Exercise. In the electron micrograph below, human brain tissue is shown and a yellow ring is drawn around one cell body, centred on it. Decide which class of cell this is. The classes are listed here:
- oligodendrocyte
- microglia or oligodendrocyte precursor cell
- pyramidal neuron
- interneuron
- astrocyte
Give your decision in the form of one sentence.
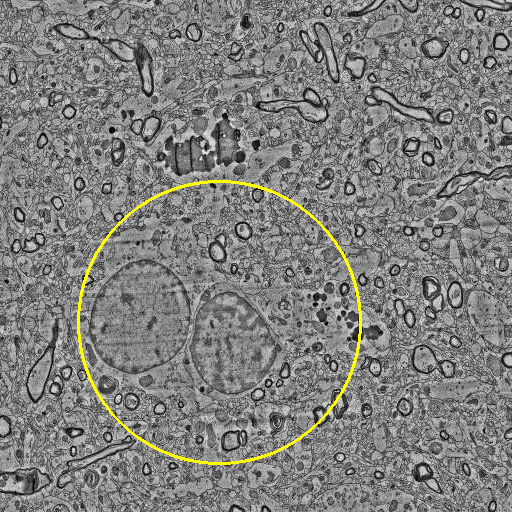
The cell body marked by the ring belongs to an oligodendrocyte.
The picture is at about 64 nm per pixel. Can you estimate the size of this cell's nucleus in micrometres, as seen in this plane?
In this plane, roughly 7 by 5 micrometres.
